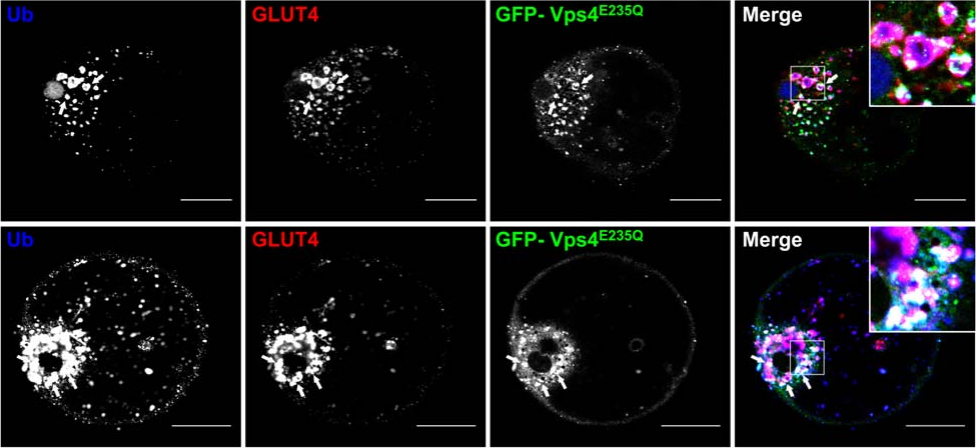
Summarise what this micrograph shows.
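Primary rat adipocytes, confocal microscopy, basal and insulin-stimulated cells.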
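The labelled material is gathered on one side of the cell, near the nucleus, which shows as a round blue body in the upper cell. There, numerous enlarged, ring-shaped and coalescing bodies appear in all three channels and look white to magenta where the colours overlap. In the lower cell these bodies form a dense, bright mass around a dark centre. Fine blue and green dots are scattered along the rest of the cell's rim.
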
